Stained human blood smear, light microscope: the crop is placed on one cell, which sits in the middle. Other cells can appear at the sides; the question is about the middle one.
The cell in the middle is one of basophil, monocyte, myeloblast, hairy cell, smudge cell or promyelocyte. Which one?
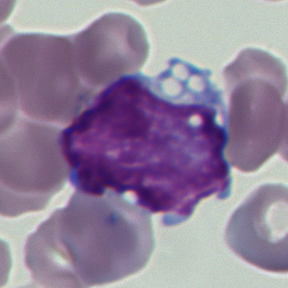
myeloblast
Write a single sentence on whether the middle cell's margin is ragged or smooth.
An irregular outline, ragged or marked by projections, surrounds this cell.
